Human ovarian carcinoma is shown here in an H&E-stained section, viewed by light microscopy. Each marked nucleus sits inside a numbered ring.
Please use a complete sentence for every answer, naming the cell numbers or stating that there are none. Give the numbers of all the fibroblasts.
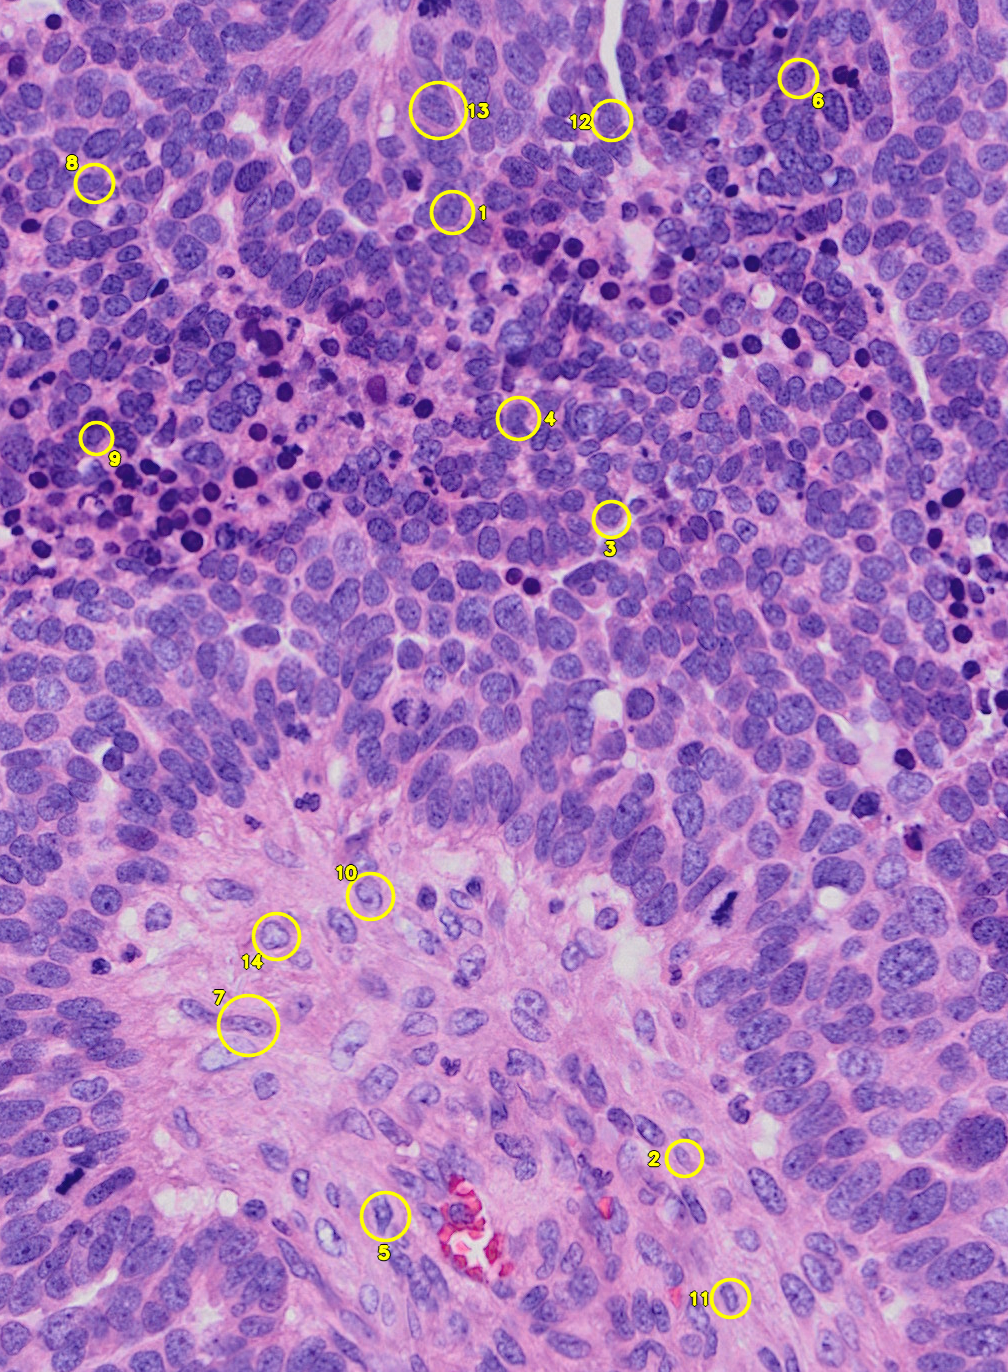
The cells that have numbers 2, 5, 7, 10, 11 and 14 are fibroblasts.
